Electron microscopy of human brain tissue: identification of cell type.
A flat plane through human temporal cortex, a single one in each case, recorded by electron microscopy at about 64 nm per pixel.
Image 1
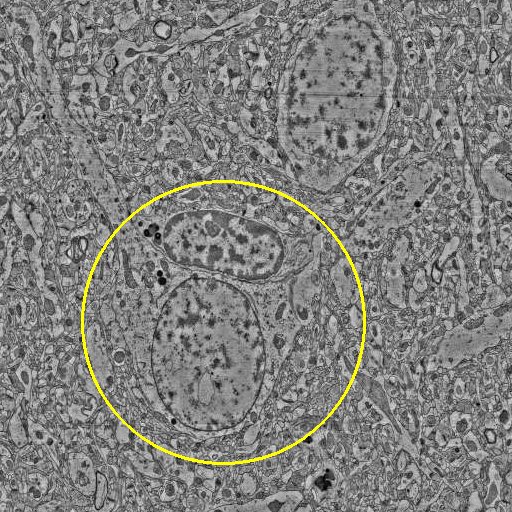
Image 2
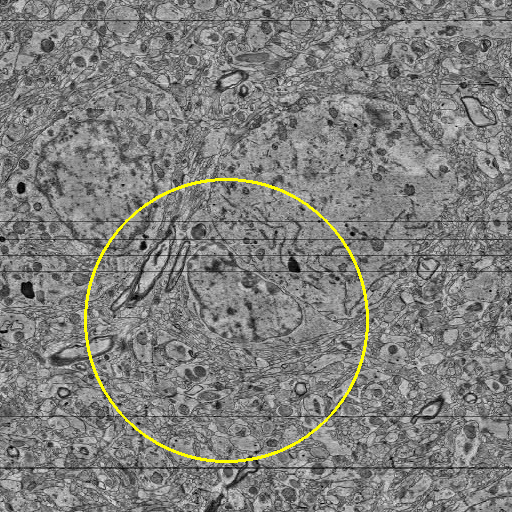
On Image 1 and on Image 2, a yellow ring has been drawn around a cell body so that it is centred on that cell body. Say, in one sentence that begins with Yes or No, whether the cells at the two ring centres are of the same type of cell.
No, the two cells are two separate types of cell.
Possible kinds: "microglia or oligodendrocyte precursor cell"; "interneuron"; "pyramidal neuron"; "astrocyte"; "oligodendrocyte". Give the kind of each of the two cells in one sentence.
The cell in the second picture is a microglial cell or oligodendrocyte precursor cell, and that in the first is a pyramidal neuron.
